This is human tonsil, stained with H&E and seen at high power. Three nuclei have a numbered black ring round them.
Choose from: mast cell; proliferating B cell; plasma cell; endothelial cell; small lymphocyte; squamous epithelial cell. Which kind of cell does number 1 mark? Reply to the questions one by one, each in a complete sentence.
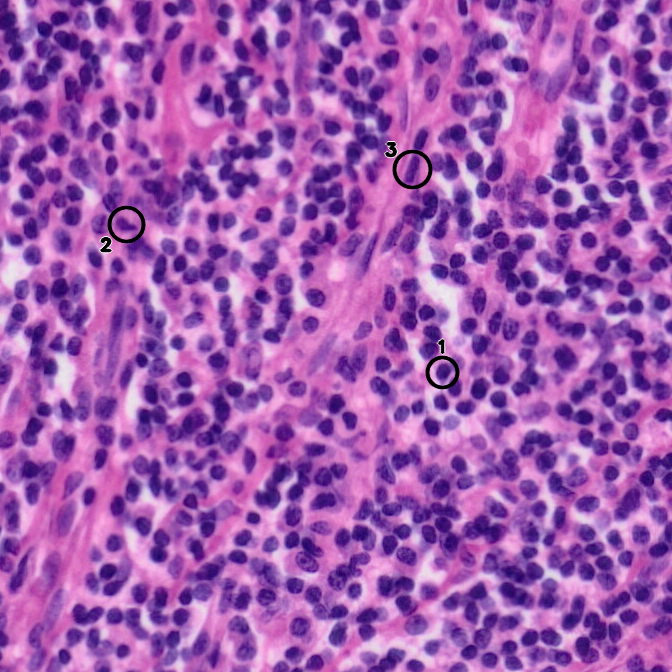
The cell pointed out as number 1 is a small lymphocyte.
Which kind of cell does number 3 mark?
Cell number 3 in this section is an endothelial cell.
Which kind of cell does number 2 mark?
As for number 2, that cell is an endothelial cell.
